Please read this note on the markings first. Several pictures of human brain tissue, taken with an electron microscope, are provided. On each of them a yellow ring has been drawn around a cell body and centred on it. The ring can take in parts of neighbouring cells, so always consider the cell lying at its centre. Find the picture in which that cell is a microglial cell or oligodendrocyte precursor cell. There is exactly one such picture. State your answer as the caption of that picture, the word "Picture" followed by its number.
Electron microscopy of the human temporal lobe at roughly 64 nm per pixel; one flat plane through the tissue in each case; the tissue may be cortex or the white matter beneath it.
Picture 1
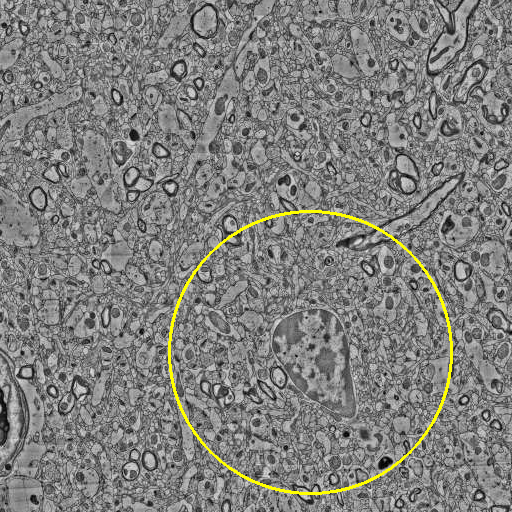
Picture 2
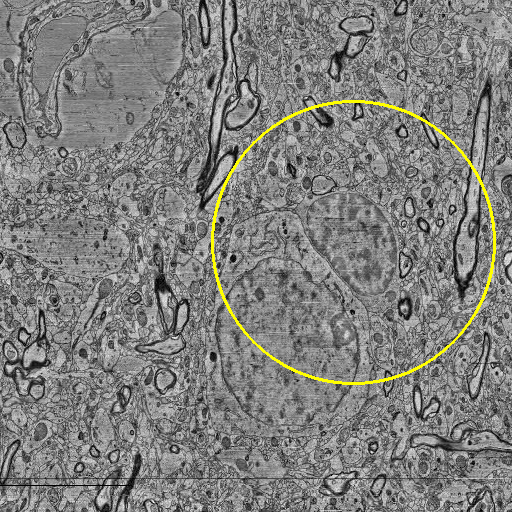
Picture 1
